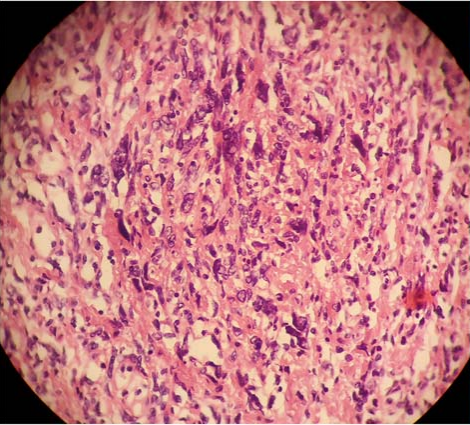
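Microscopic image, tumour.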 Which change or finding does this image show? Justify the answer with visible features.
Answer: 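A few nuclei are much larger and darker than their neighbours. These large nuclei have irregular, angular shapes. They are spread singly through the field.
Answer: scattered bizarre nuclei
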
